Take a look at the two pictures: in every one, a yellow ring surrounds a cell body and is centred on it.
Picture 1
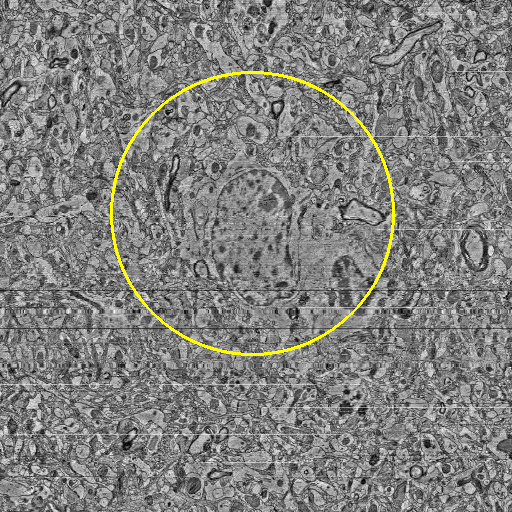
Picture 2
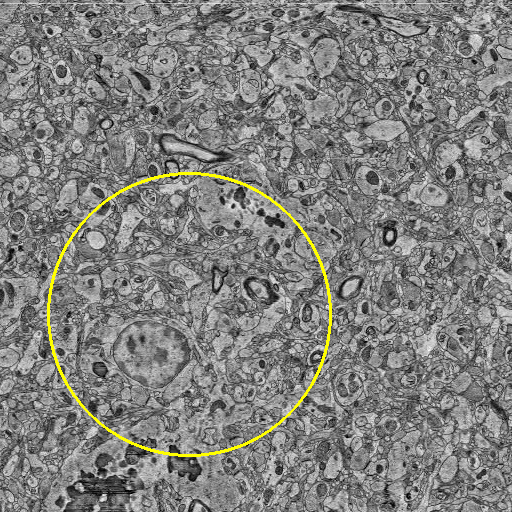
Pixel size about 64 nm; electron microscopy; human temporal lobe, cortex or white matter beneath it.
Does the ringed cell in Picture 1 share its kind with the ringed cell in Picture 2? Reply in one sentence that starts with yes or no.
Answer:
No, the two centred cells, one per picture, are of two kinds.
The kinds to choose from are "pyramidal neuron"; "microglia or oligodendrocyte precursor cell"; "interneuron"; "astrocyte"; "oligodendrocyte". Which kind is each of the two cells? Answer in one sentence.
Of the two, the first cell is an astrocyte and the second cell is a microglial cell or oligodendrocyte precursor cell.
